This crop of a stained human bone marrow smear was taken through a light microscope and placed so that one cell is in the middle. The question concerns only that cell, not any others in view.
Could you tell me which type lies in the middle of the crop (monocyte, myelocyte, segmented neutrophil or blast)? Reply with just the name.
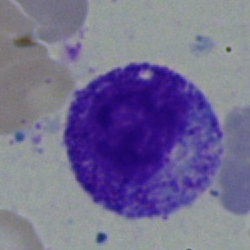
myelocyte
